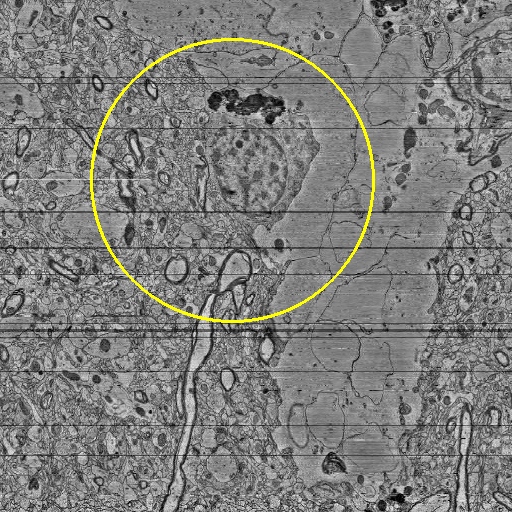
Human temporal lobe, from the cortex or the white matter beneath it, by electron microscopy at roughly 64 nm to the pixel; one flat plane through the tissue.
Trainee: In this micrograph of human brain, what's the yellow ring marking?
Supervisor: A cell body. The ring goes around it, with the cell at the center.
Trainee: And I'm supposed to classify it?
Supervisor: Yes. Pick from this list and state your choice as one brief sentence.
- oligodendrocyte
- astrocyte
The cell at the ring's center is an oligodendrocyte.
